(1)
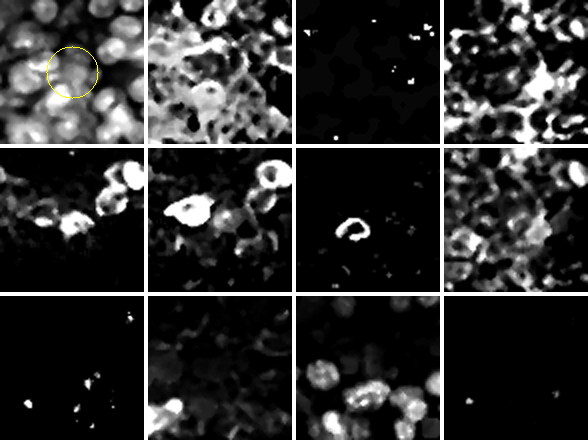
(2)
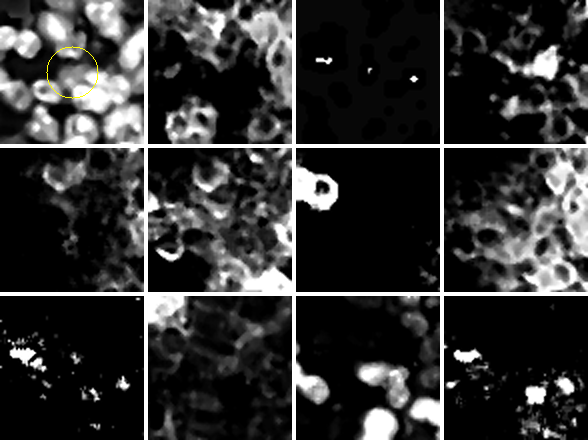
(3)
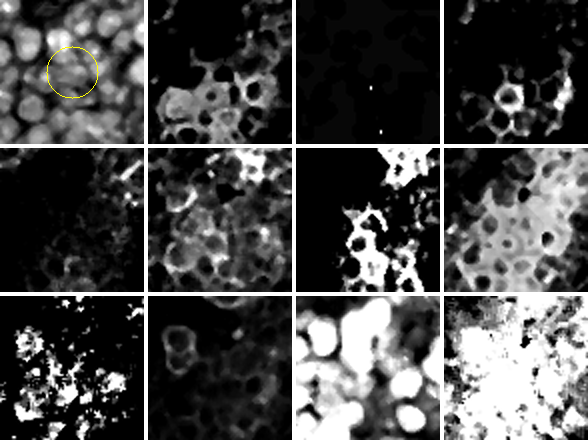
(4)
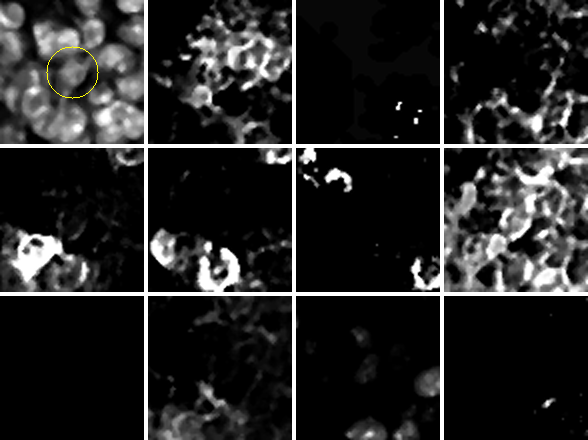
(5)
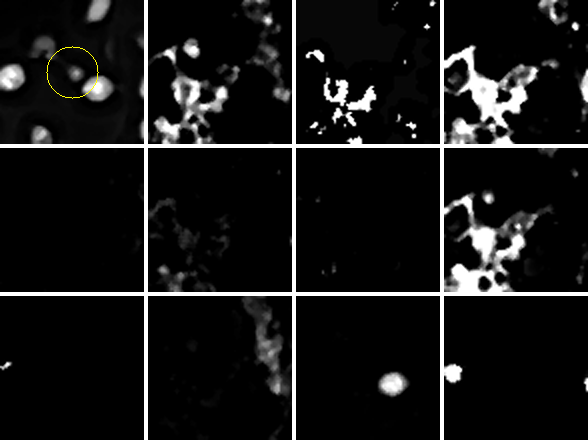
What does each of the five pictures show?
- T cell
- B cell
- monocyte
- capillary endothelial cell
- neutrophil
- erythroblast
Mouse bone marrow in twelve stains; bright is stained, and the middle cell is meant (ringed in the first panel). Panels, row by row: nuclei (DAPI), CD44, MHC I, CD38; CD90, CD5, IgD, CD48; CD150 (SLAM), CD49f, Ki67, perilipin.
(1) T cell
(2) capillary endothelial cell
(3) B cell
(4) neutrophil
(5) monocyte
